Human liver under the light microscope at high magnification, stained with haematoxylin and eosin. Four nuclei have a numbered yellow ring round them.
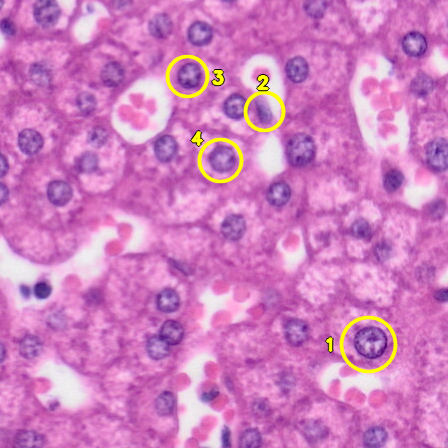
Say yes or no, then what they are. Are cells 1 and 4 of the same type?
Yes, the cells marked 1 and 4 are both hepatocytes.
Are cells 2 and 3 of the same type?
No, cell 2 here is a Kupffer cell, and cell 3 here is a hepatocyte.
